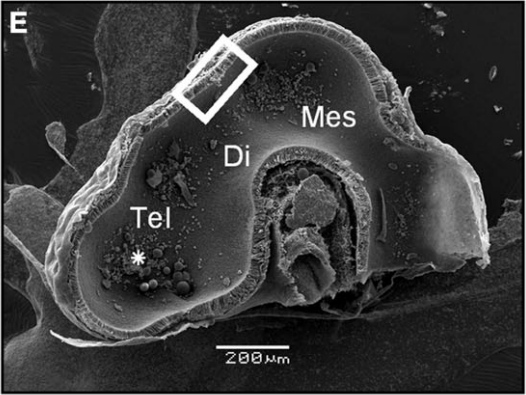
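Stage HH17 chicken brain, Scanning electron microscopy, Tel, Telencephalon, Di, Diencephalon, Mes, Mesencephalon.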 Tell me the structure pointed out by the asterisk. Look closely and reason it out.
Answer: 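Clusters of small rounded particles lie inside the hollow cavity of the brain. The particles sit free in the cavity, not within the wall.
Answer: aggregates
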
